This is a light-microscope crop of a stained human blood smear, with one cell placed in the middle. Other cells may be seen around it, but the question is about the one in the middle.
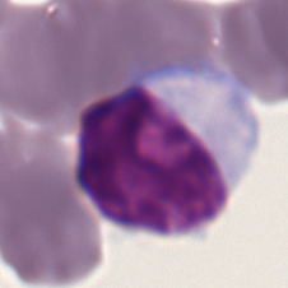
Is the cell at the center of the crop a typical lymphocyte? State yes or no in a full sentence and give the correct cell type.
Yes, the cell in the middle has the identity of a typical lymphocyte.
